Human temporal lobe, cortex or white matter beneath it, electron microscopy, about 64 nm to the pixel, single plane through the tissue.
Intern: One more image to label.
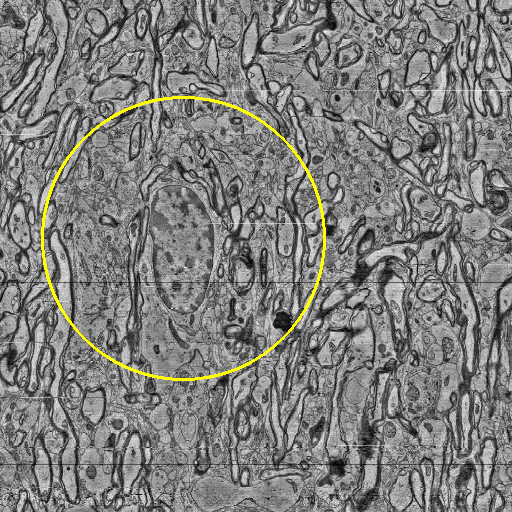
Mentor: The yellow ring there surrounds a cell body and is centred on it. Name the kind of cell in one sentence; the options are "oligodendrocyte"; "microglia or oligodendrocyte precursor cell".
The ring marks the cell body of a microglial cell or oligodendrocyte precursor cell.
